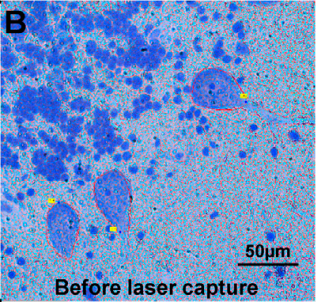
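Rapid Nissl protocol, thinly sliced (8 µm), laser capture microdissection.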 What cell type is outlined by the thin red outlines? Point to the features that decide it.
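The outlined cells are large, oval to flask-shaped bodies. They lie at the edge of a dense band of small dark cells, next to a pale sparsely cellular zone. They are much larger than the surrounding small dark cells.
Hence: Purkinje cells.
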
